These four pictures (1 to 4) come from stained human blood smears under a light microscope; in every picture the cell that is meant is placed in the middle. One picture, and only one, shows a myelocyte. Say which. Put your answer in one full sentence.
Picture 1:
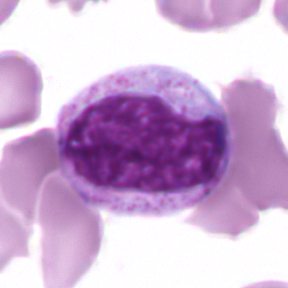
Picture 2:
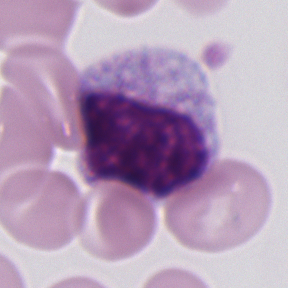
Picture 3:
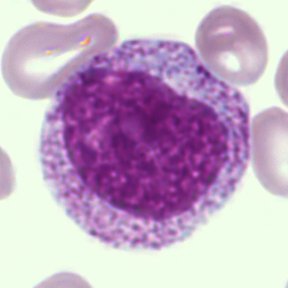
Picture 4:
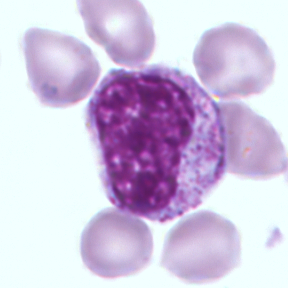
Picture 3 is the one that shows the myelocyte.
